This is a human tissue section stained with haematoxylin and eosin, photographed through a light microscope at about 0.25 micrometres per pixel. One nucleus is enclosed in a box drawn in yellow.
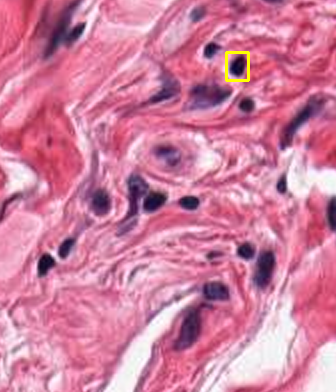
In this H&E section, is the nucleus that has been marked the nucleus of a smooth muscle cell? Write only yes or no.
no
